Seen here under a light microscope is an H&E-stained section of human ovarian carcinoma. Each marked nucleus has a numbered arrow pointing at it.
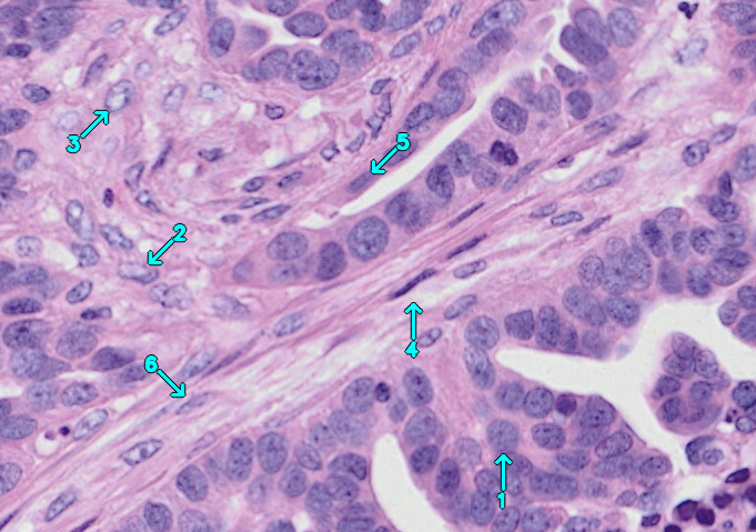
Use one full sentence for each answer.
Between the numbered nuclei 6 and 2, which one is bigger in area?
Nucleus 2 is the larger one, covering about 2 times the area of nucleus 6.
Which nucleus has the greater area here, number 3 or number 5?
It is nucleus 3, which covers about 2 times the area of nucleus 5.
